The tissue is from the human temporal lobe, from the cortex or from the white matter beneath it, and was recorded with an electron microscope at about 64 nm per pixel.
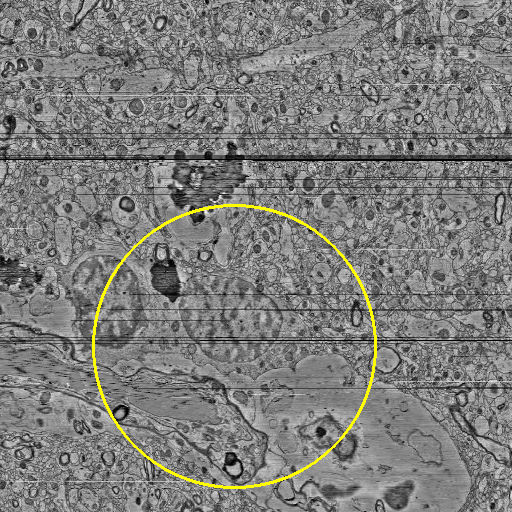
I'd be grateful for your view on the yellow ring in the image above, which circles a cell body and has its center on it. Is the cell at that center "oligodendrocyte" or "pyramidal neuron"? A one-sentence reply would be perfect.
The cell at the center of the yellow ring is an oligodendrocyte.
